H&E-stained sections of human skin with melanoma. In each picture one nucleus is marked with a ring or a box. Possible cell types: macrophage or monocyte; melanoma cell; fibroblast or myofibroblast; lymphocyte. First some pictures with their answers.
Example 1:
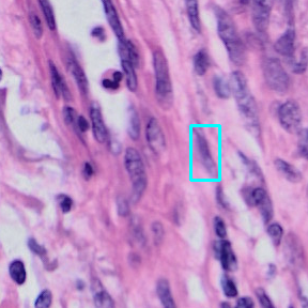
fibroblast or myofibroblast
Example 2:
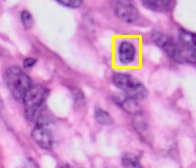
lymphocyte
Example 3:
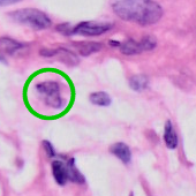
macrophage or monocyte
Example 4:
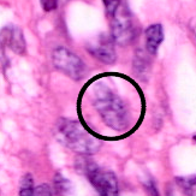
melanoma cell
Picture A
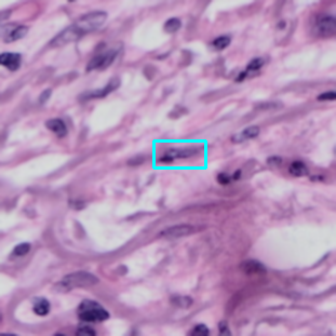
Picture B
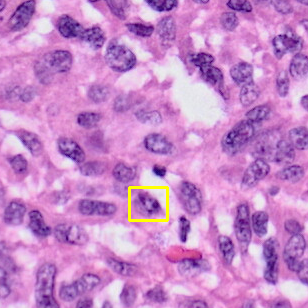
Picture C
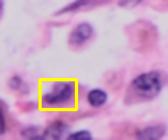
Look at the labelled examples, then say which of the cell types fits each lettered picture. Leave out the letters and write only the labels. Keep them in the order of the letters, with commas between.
fibroblast or myofibroblast, melanoma cell, macrophage or monocyte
